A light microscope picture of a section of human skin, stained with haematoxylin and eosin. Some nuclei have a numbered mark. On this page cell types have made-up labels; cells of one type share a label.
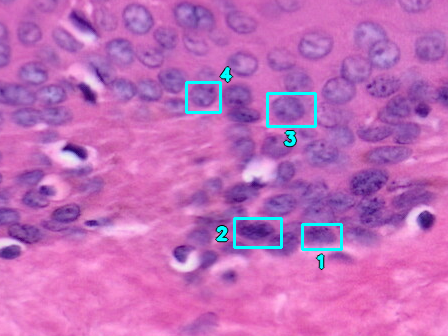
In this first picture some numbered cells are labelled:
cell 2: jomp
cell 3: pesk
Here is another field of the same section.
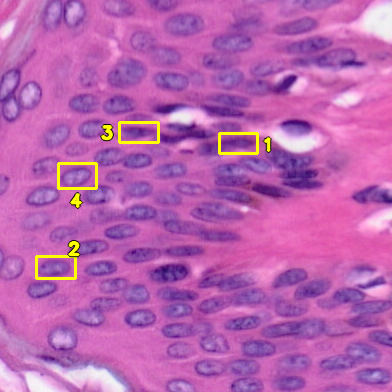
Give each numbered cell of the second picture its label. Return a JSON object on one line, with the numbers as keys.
{"1": "jomp", "2": "pesk", "3": "jomp", "4": "pesk"}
